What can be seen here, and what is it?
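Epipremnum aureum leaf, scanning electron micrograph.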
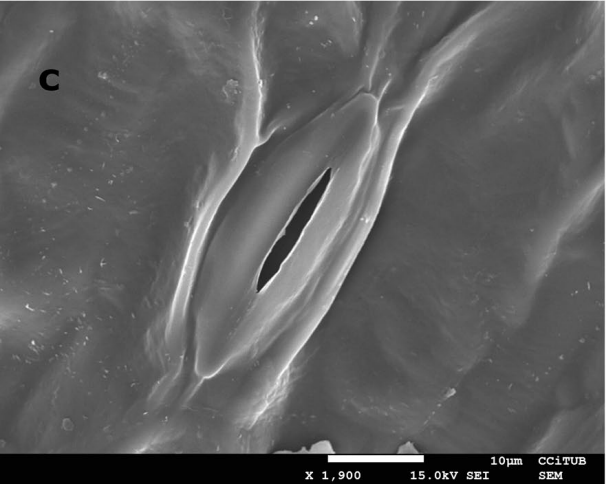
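This is the surface of a leaf epidermis with a stoma in the centre. The neighbouring epidermal cells are flat and only faintly outlined by gentle ridges and folds running roughly parallel to the stoma. Small bright particles are scattered over the surface.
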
